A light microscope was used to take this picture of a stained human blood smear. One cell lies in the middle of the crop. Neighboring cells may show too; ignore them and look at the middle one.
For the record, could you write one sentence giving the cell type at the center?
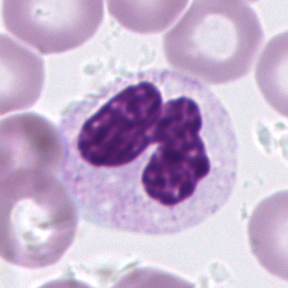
The cell under consideration, at the middle of the crop, is a segmented neutrophil.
